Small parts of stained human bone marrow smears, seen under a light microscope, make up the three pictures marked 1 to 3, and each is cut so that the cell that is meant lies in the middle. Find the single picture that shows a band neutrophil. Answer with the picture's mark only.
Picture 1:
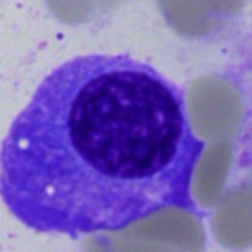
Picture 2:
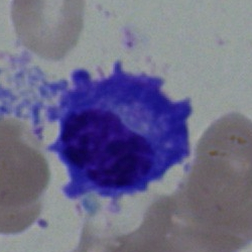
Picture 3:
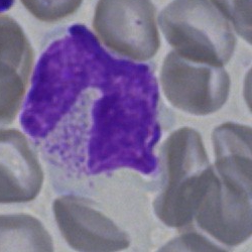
3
